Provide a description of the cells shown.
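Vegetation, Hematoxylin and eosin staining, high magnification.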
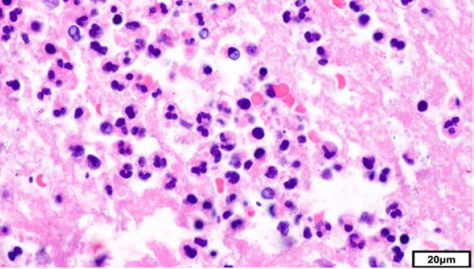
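This is an inflammatory exudate crowded with neutrophils, lying loosely in a pale pink, finely fibrillar background. Most cells are small and round, with dark purple nuclei divided into two to four lobes and scant pale cytoplasm. A few bright red, anucleate red blood cells lie among them. The cells are scattered singly without any tissue arrangement.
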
